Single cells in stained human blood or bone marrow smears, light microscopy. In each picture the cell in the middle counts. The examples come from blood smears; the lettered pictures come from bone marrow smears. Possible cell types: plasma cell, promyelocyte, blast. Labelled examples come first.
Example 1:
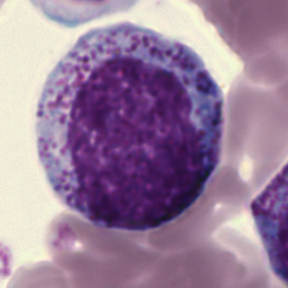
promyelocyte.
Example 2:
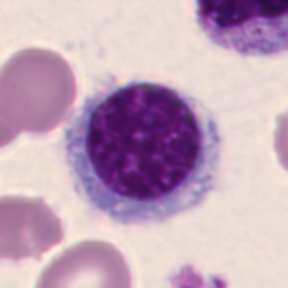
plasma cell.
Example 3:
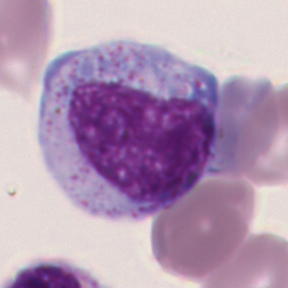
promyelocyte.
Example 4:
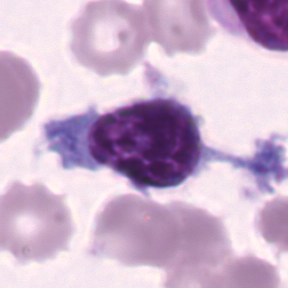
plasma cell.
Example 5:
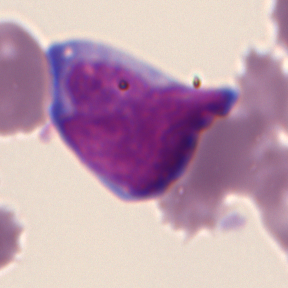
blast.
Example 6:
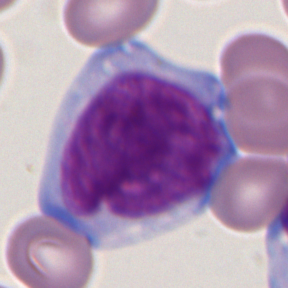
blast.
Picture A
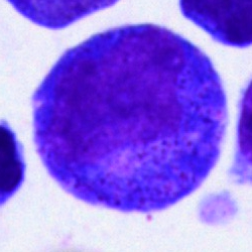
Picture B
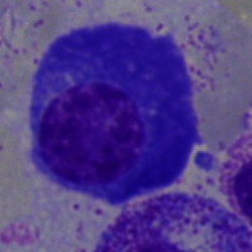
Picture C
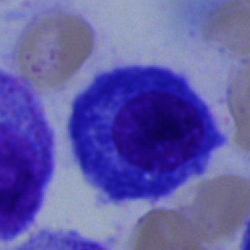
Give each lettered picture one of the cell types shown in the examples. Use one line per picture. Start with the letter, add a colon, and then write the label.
A: promyelocyte.
B: plasma cell.
C: plasma cell.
